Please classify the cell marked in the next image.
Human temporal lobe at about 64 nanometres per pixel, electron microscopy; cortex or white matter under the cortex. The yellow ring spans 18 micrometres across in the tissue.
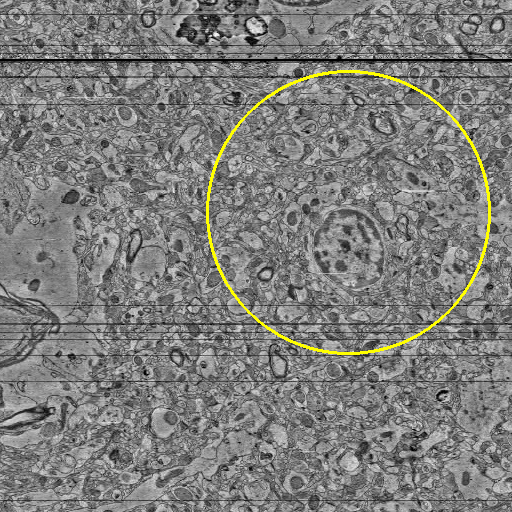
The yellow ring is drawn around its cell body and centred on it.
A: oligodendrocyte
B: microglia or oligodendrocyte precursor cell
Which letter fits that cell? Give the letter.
B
